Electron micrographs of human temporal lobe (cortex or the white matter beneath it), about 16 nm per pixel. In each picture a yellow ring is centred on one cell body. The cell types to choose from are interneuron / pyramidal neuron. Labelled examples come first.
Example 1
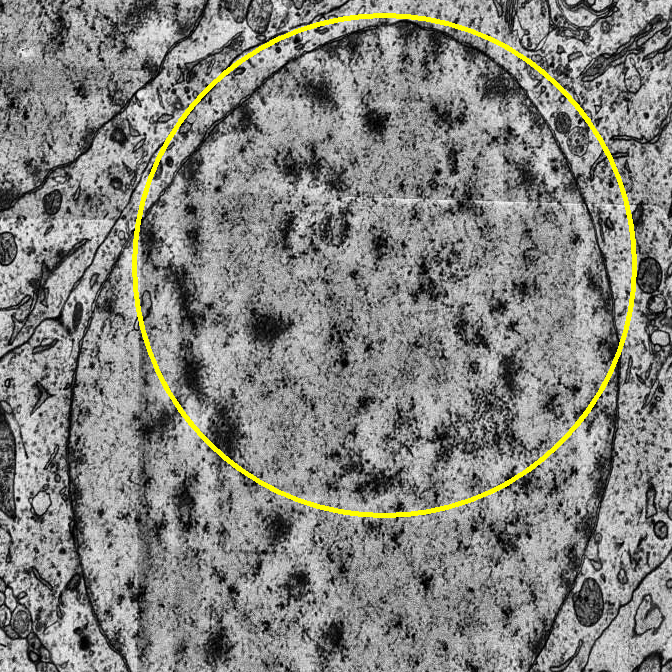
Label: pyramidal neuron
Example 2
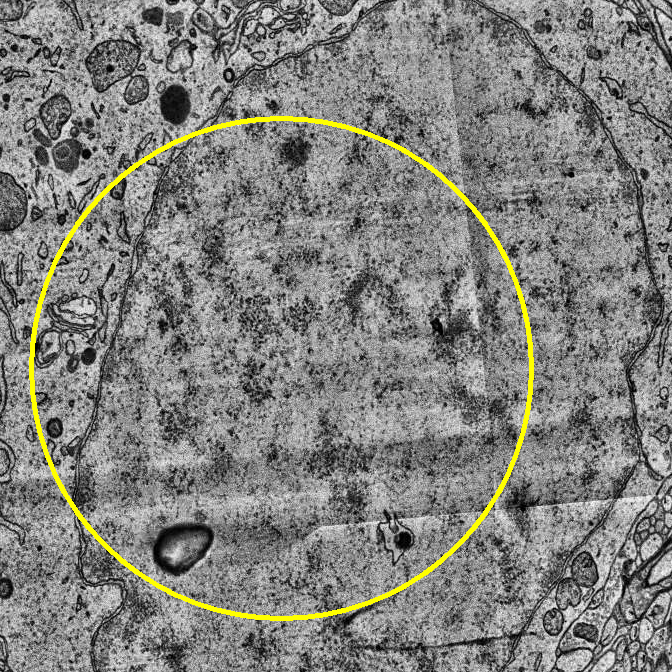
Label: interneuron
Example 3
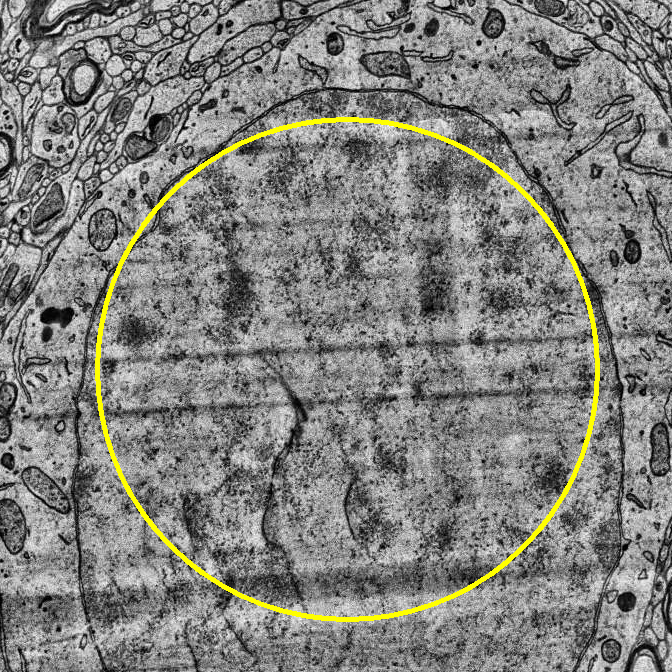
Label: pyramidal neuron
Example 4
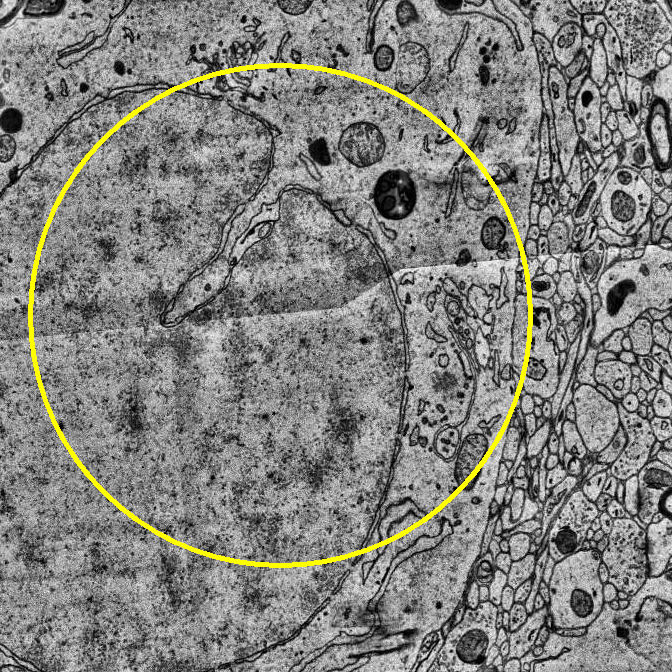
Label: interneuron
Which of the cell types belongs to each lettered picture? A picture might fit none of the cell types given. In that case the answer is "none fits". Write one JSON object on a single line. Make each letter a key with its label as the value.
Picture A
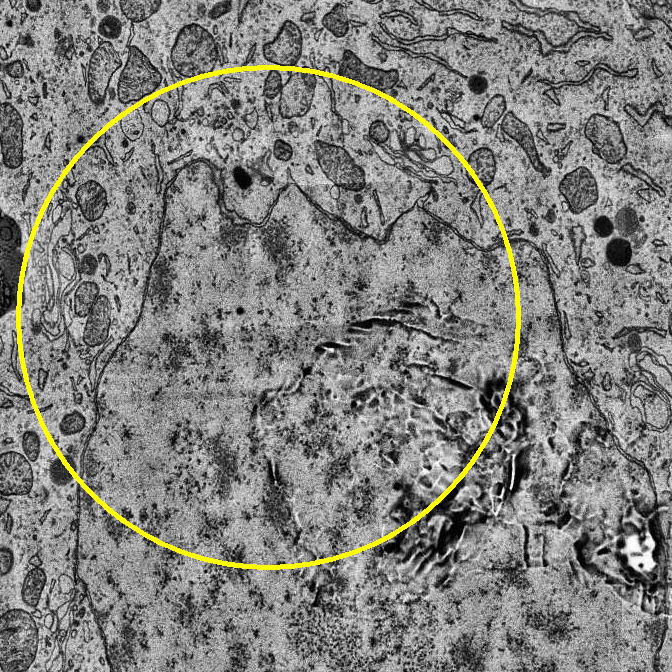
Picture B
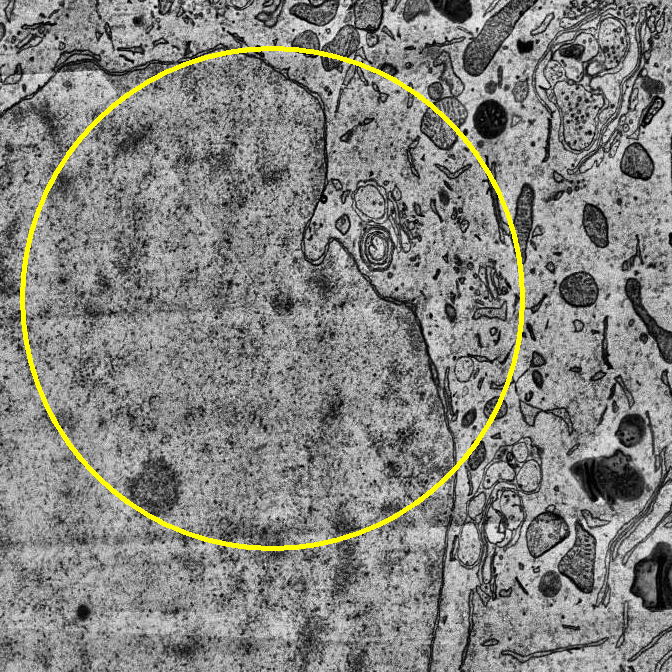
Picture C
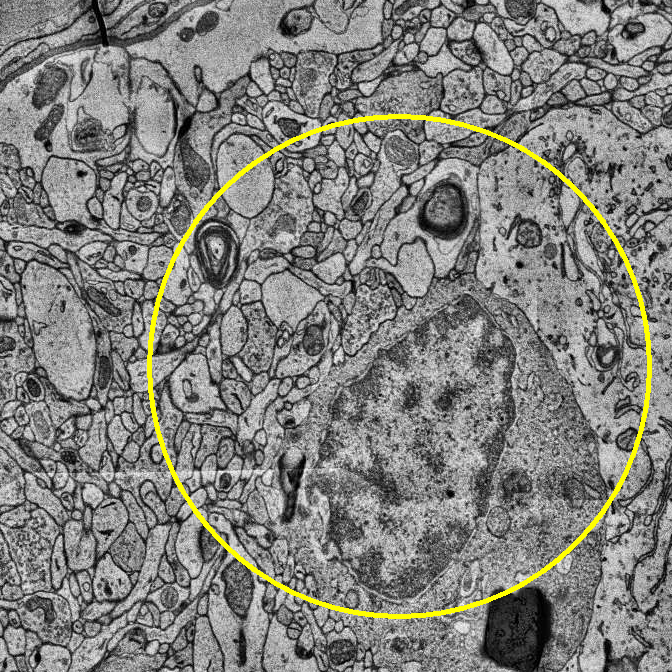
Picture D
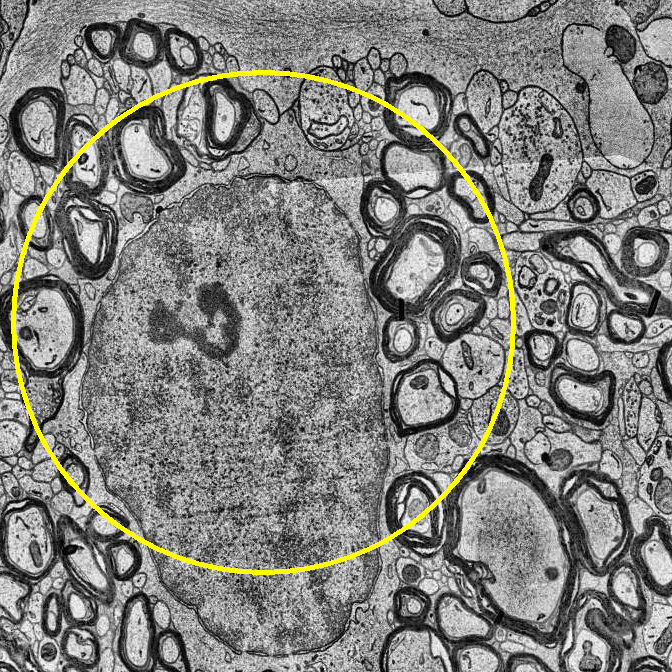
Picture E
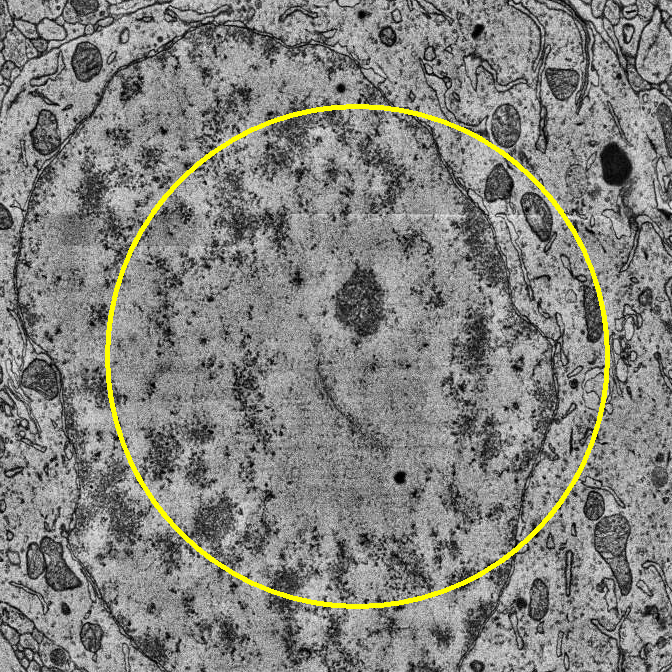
{"A": "interneuron", "B": "interneuron", "C": "none fits", "D": "none fits", "E": "interneuron"}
